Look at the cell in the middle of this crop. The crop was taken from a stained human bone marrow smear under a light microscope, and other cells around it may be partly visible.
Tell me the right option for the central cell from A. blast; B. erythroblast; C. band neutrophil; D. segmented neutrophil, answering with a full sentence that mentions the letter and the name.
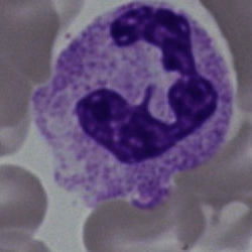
Option D is the right one, for the cell in the middle is a segmented neutrophil.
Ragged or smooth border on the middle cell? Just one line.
Along its border, the cell is uneven, whether by ragged stretches or by projections.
